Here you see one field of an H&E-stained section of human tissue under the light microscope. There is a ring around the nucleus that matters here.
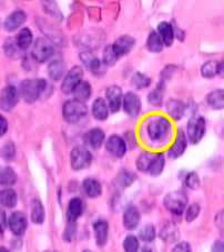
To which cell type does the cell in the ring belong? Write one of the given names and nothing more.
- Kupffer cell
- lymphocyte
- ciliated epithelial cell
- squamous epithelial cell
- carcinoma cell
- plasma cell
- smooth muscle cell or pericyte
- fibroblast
lymphocyte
